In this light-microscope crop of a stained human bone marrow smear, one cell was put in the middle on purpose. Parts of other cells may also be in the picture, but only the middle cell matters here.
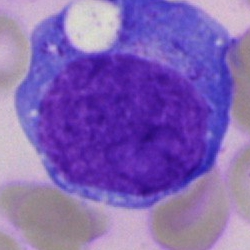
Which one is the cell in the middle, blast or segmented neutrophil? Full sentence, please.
This crop has a blast at its centre.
